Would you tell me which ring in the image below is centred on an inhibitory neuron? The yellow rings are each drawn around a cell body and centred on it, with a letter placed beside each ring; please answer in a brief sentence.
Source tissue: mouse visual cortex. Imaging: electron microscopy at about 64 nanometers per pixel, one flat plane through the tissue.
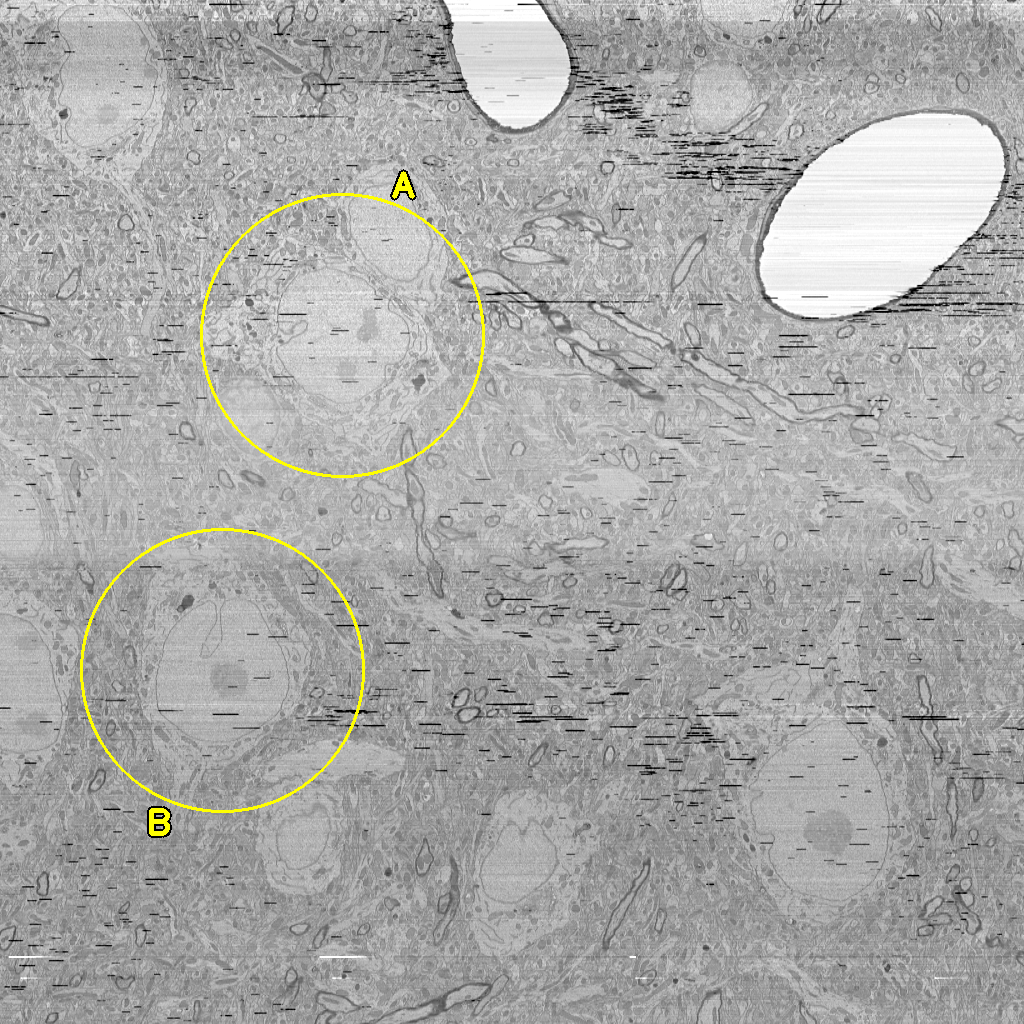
Ring A is centred on it.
